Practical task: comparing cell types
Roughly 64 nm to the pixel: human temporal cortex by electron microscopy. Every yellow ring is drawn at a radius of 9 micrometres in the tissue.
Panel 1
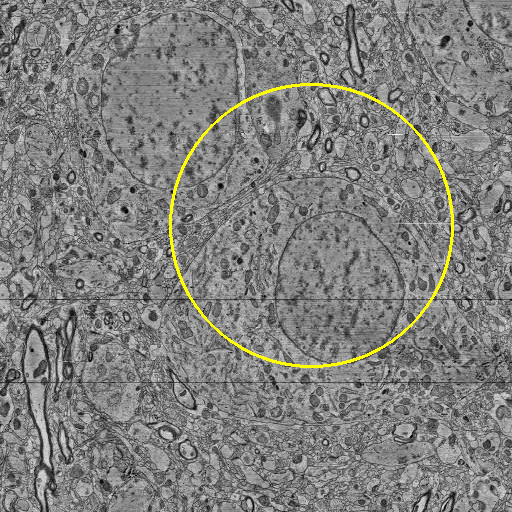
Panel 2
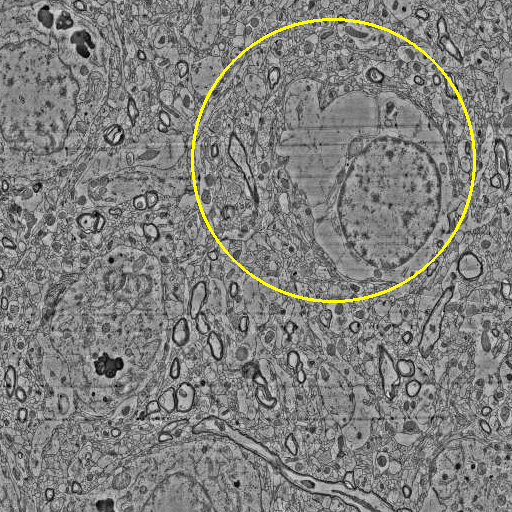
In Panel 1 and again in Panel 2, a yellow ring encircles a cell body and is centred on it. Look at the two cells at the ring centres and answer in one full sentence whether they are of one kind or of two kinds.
The two cells sitting at the ring centres of Panels 1 and 2 are of two kinds.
